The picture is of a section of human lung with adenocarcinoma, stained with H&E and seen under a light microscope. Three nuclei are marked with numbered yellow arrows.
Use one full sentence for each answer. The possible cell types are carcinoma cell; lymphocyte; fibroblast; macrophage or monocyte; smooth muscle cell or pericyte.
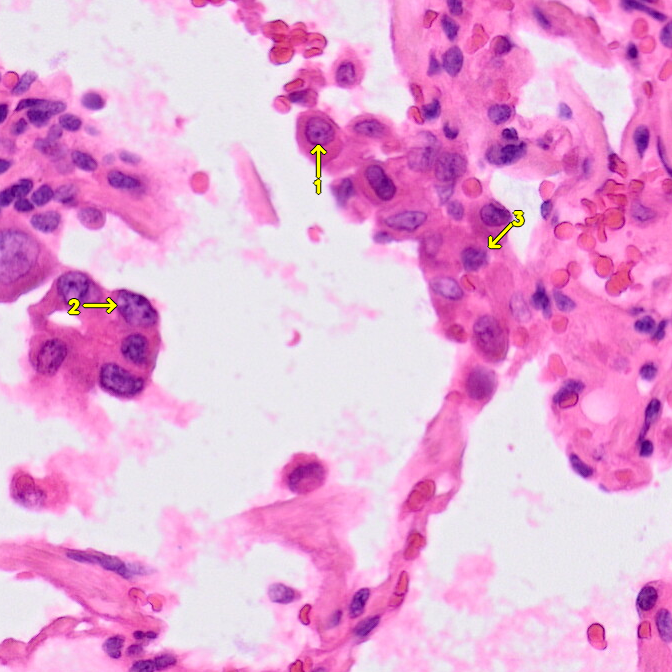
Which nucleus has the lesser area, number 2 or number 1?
The smaller nucleus is 1, and 2 covers roughly 2 times its area.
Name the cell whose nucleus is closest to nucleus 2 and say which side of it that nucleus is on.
The nearest one is a carcinoma cell, found below nucleus 2.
